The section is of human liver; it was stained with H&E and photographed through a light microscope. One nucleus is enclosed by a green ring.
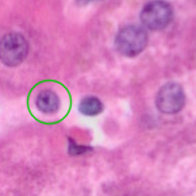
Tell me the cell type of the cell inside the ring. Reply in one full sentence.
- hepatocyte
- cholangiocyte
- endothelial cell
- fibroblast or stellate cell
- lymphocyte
This is a lymphocyte.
